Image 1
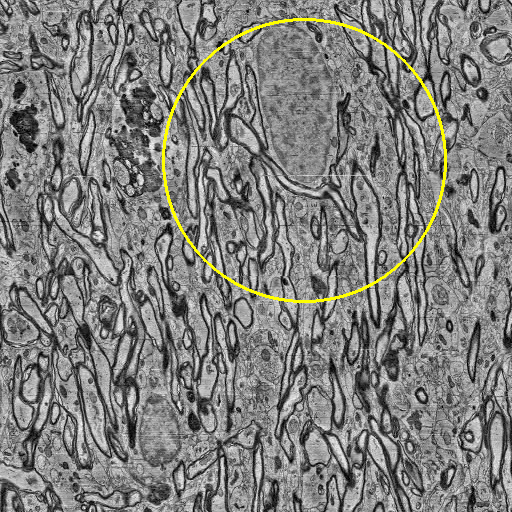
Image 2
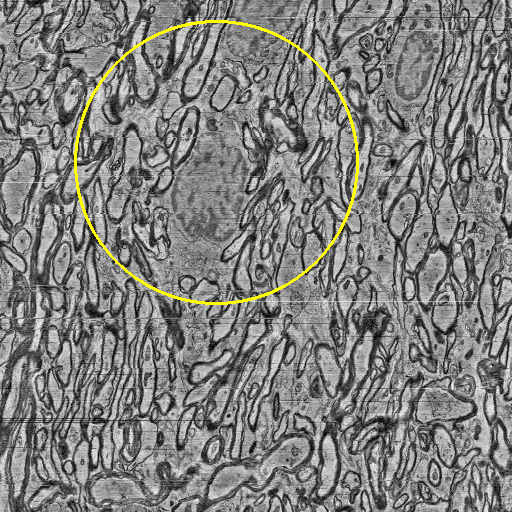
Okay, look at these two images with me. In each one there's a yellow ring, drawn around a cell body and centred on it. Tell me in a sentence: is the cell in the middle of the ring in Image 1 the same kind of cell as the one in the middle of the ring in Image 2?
Yes, they're the same kind of cell.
